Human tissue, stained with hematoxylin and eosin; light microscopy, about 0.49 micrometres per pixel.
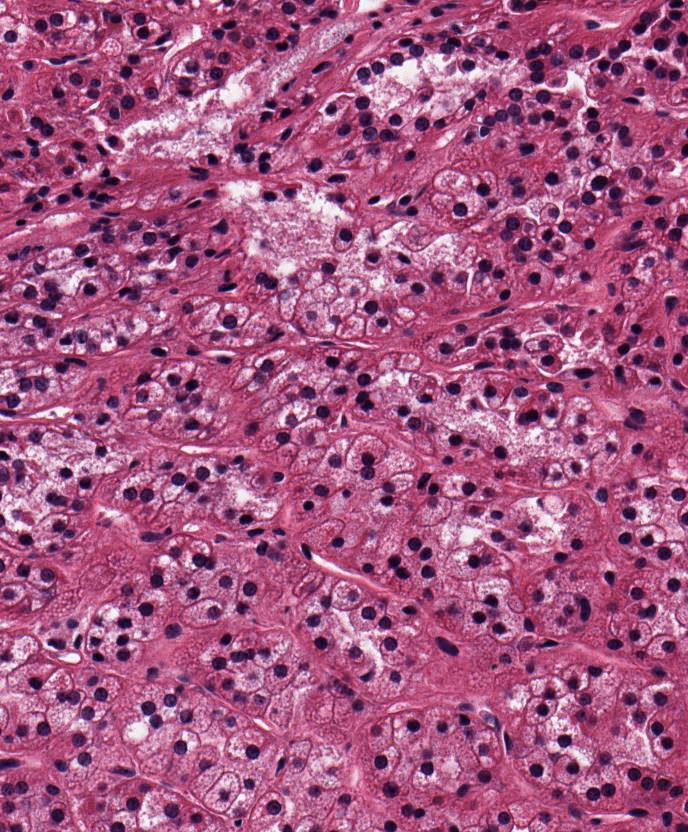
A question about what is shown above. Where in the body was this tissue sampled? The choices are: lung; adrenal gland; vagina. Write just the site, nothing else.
adrenal gland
